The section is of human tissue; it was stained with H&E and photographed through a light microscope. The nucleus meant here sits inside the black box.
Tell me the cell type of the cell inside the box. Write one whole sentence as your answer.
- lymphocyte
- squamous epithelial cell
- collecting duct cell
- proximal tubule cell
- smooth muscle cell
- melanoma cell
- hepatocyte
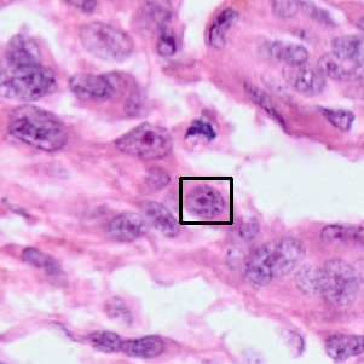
The cell meant here is a melanoma cell.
